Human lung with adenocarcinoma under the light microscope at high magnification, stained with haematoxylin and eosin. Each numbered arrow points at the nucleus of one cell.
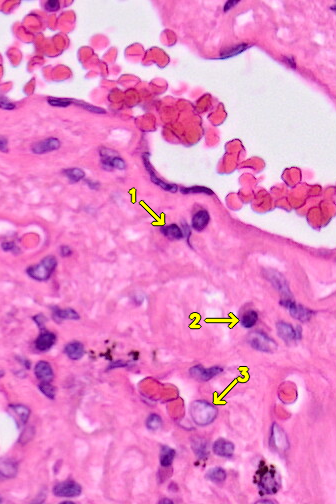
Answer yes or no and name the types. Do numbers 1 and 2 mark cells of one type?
Yes, both are plasma cells.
